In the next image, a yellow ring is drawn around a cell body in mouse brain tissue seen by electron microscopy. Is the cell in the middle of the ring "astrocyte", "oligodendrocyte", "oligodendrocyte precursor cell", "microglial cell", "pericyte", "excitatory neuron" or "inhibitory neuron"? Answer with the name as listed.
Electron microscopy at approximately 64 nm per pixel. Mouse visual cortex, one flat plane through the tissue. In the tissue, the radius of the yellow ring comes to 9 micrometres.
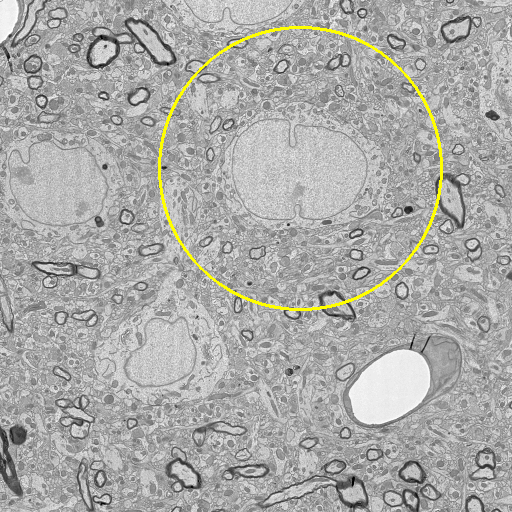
excitatory neuron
